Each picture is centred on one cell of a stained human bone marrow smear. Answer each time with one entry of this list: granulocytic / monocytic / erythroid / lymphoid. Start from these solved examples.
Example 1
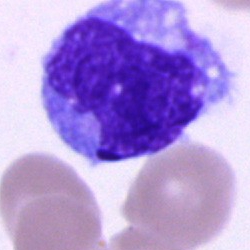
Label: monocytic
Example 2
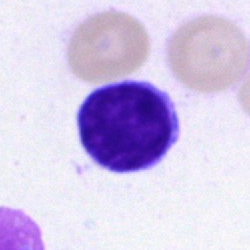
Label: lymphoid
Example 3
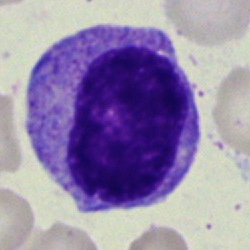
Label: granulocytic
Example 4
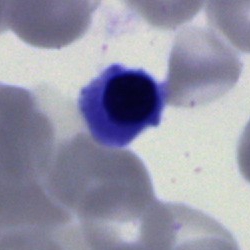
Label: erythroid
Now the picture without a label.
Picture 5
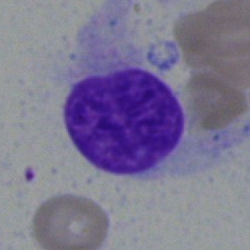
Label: lymphoid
